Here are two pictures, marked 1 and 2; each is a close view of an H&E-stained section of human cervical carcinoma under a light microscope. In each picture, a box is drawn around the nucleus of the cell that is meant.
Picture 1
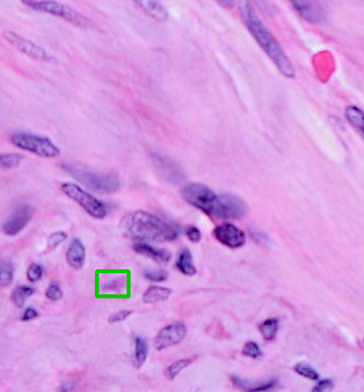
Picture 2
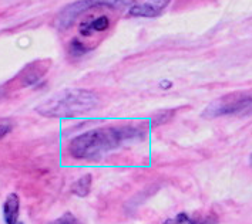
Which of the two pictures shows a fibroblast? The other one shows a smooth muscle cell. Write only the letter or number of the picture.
2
